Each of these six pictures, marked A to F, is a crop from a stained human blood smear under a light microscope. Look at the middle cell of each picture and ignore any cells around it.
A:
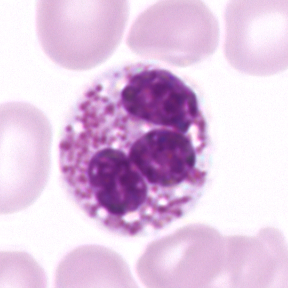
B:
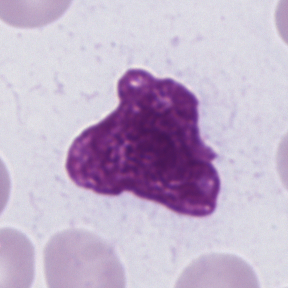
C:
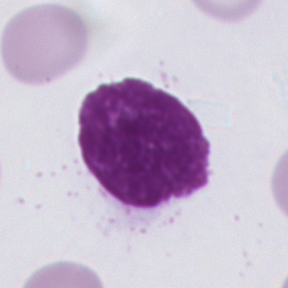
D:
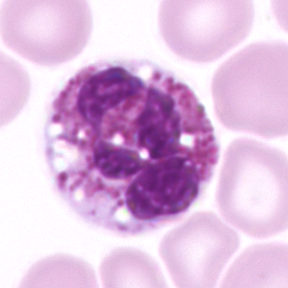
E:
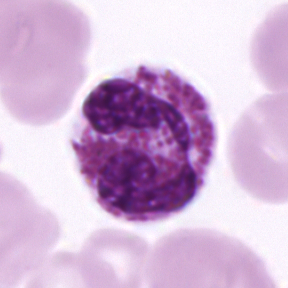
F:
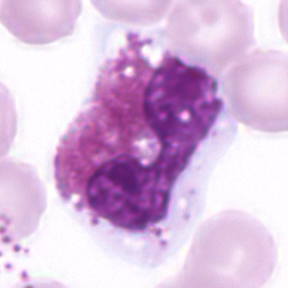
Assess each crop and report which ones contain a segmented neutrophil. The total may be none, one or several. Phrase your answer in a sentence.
Whatever the crop, its central cell is not a segmented neutrophil.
